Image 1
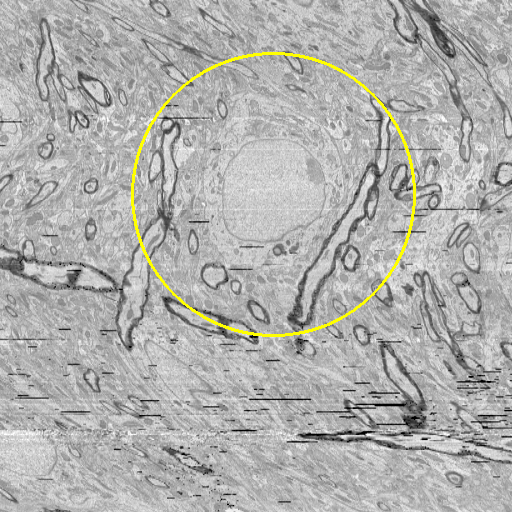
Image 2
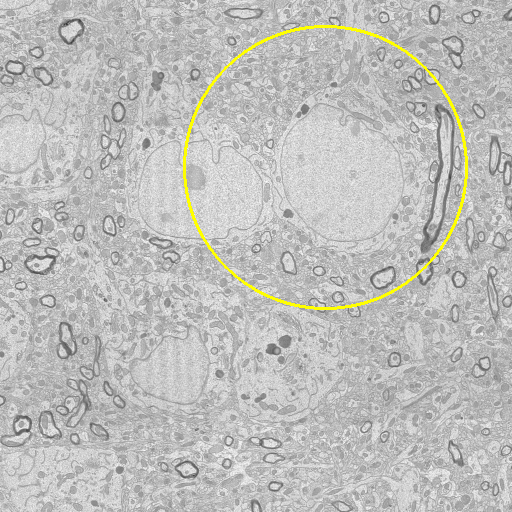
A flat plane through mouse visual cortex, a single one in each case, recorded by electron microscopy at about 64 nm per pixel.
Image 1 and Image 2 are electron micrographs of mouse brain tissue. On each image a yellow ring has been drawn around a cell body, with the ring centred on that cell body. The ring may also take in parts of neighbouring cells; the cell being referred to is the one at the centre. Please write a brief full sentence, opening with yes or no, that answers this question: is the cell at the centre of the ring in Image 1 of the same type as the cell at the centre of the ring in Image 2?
Yes, both cells are of the same type.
